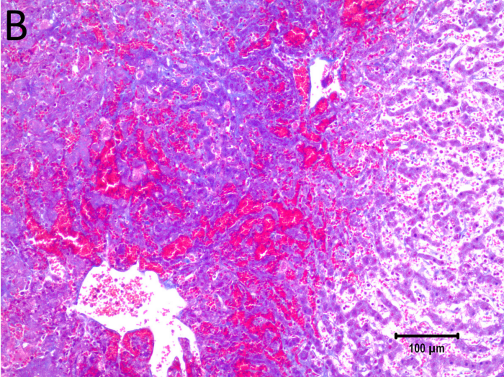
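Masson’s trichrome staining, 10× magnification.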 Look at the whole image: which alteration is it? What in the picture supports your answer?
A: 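Severe acute hepatocellular necrosis. The regular plates of liver cells are lost over most of the field. Only toward the right edge does a plate-and-sinusoid pattern remain.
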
